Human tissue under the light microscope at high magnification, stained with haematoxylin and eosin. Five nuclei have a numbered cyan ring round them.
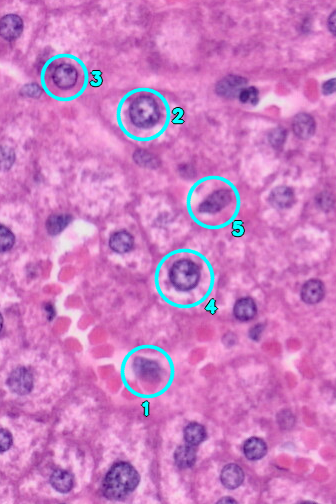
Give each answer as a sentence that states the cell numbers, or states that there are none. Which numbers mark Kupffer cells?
Only number 5 of the marked cells is a Kupffer cell.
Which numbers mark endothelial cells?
The one cell that is an endothelial cell is cell 1, and no other.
